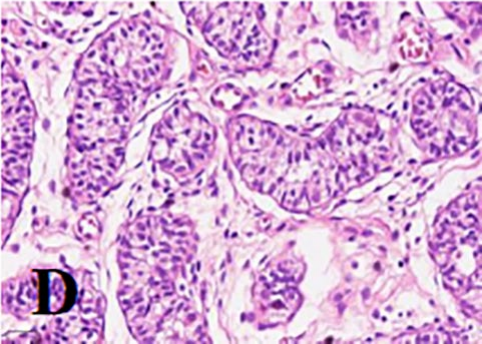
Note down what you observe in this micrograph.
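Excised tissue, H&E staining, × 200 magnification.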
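Small, underdeveloped seminiferous tubules in loose stroma. Tubules are round to oval cross-sections filled by crowded cells with oval purple nuclei arranged around the periphery and centre, without an open lumen and without layered maturing germ cells. A thin basement rim outlines each tubule. Between tubules lies pale, loose, oedematous-looking connective tissue with scattered spindle cells and small vessels containing red blood cells.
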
